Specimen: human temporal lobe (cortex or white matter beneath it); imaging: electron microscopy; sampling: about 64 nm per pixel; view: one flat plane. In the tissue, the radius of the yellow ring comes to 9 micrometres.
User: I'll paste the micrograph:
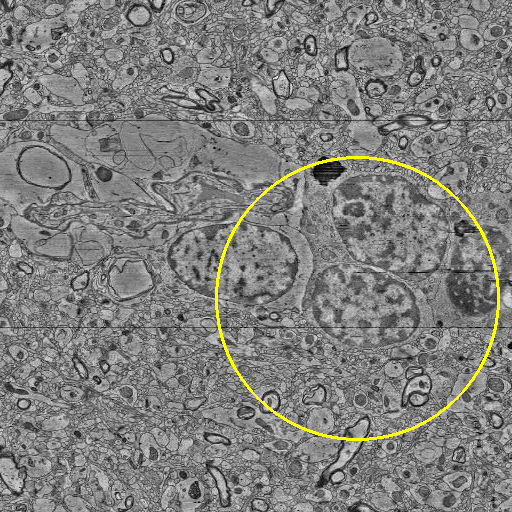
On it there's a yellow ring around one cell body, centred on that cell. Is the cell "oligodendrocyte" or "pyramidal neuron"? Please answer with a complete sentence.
The cell ringed in yellow is an oligodendrocyte.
